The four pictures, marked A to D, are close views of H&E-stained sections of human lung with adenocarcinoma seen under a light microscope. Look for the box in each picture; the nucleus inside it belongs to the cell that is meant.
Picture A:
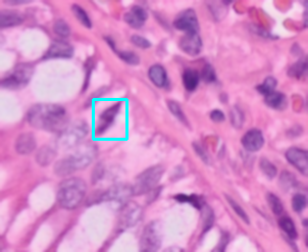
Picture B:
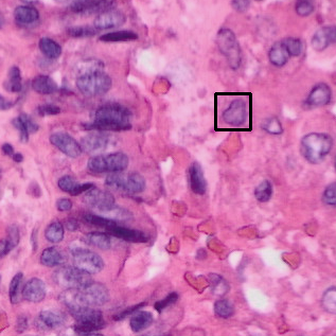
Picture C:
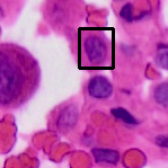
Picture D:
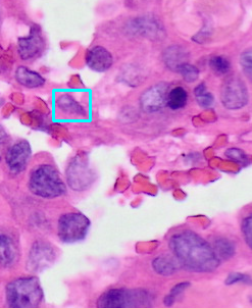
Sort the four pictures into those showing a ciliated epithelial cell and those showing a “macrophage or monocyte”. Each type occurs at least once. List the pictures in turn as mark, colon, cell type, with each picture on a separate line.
A: ciliated epithelial cell
B: macrophage or monocyte
C: macrophage or monocyte
D: macrophage or monocyte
